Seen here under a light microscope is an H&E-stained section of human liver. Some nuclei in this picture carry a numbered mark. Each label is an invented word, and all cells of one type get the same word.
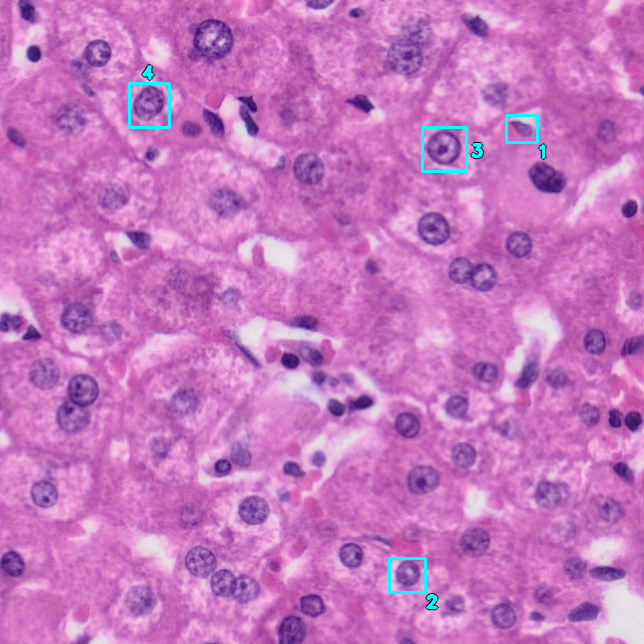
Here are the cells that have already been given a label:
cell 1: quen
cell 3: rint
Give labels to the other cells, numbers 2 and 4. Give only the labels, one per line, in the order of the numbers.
rint
rint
